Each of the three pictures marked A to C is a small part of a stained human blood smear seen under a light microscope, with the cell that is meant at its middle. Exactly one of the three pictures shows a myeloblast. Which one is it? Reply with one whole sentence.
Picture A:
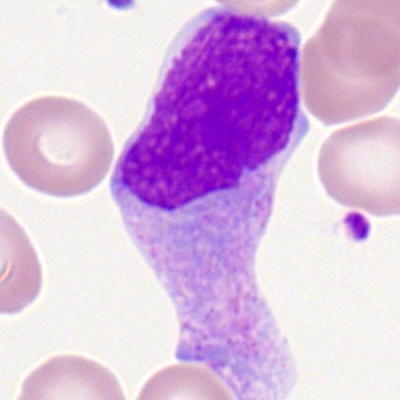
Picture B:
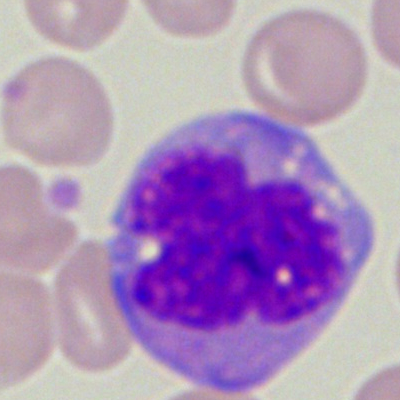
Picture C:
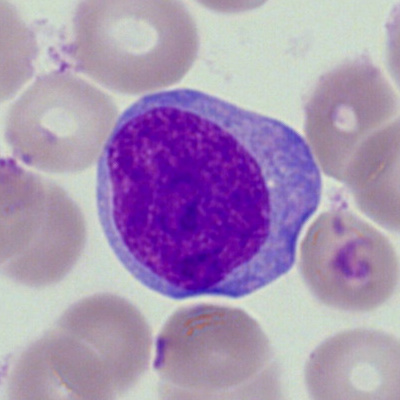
Picture C is the one that shows the myeloblast.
